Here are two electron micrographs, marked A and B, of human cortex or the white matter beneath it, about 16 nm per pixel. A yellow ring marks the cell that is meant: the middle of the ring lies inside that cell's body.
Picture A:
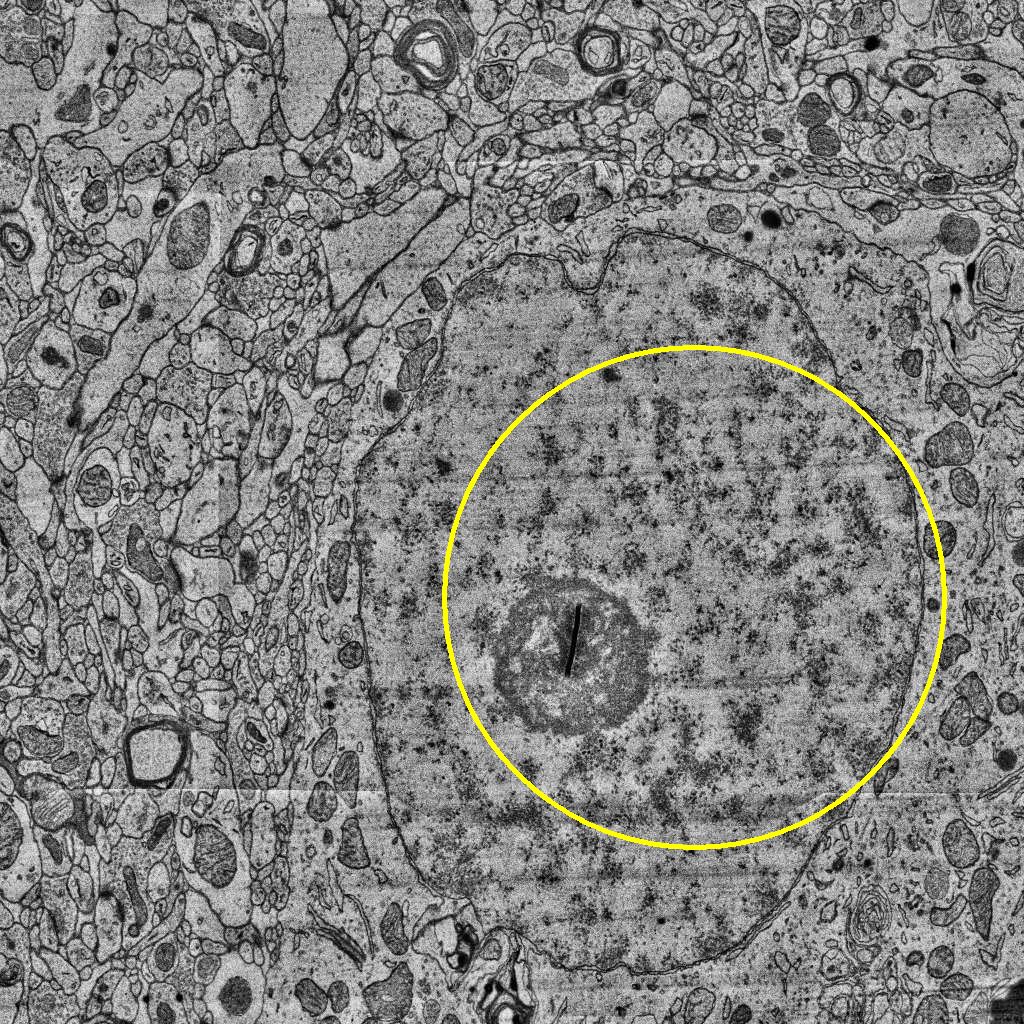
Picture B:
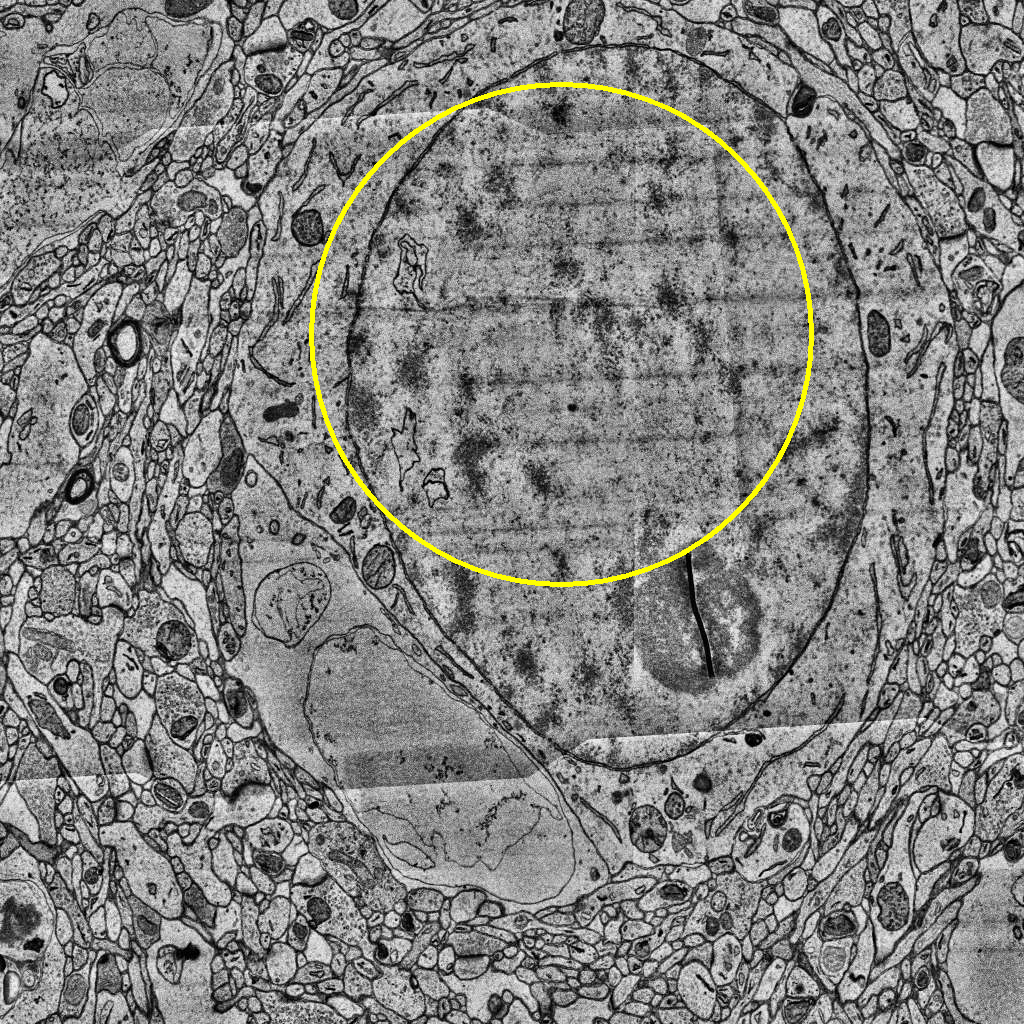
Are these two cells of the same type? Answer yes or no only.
no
